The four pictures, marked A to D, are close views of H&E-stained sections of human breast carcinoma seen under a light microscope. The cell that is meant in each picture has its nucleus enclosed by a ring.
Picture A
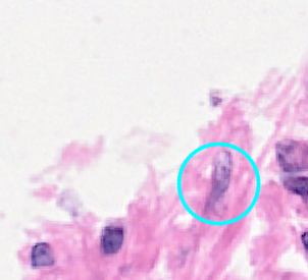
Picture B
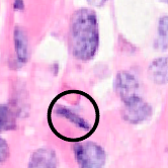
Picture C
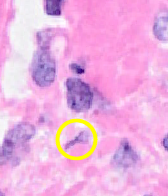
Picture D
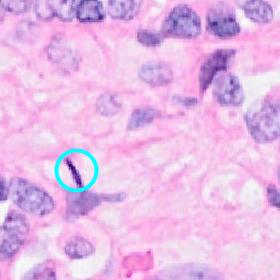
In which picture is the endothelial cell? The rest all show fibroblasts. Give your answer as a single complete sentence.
It is picture B that shows the endothelial cell.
